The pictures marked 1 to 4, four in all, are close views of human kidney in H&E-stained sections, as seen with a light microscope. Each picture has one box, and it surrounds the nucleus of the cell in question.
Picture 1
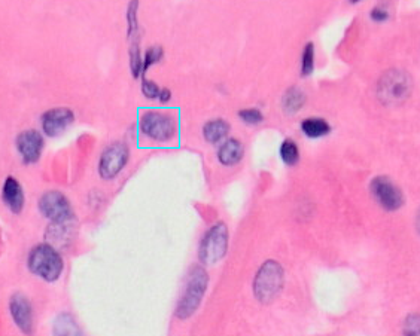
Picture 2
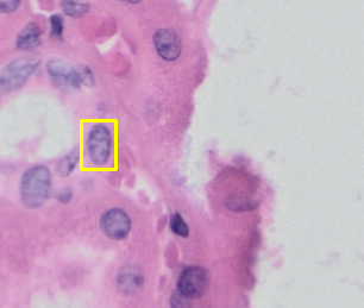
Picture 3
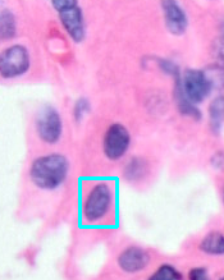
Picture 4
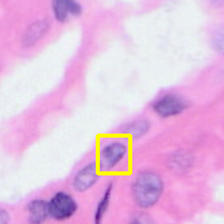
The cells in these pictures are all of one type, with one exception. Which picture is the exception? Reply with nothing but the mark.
3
